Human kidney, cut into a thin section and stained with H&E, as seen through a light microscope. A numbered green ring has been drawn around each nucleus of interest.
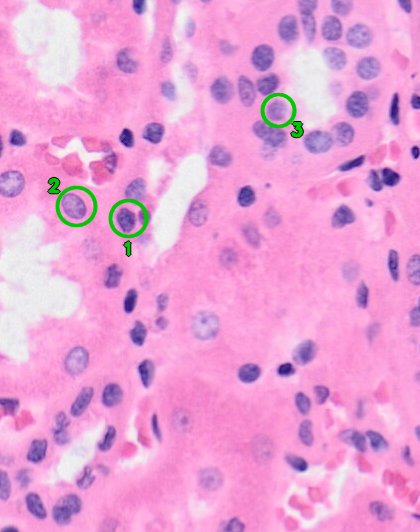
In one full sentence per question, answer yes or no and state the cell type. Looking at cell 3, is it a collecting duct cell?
Yes, cell number 3 is identified here as a collecting duct cell.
